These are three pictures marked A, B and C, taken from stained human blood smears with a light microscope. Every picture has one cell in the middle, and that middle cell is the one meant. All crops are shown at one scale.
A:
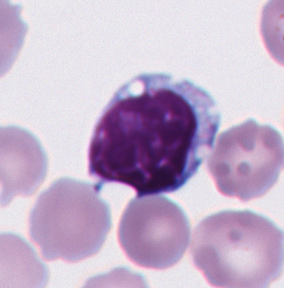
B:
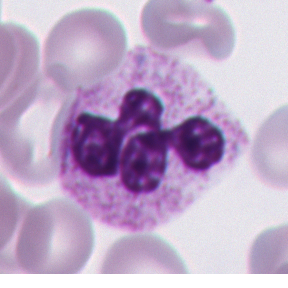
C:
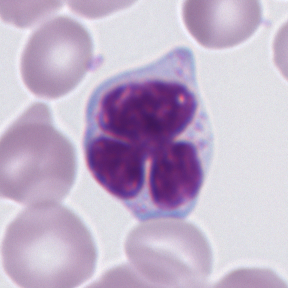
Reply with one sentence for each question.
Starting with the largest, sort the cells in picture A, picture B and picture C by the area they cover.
From the largest down, the order is B, C, A.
